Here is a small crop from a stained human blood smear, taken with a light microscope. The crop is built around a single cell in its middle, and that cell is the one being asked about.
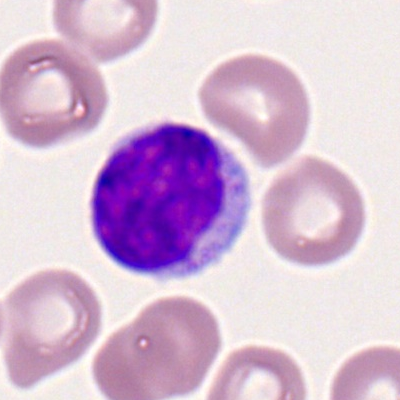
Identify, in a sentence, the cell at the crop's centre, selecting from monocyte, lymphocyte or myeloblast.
The cell of interest, located centrally, is a lymphocyte.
